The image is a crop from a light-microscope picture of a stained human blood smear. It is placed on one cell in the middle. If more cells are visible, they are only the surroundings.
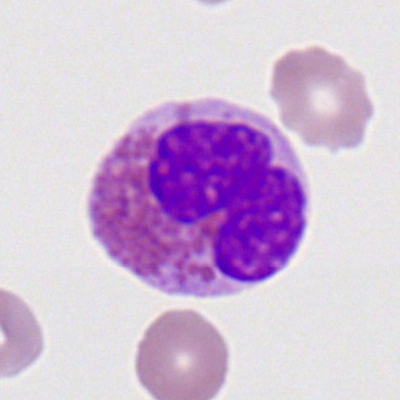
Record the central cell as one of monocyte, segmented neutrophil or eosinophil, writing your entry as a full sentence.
Answering briefly, the cell in the middle is an eosinophil.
